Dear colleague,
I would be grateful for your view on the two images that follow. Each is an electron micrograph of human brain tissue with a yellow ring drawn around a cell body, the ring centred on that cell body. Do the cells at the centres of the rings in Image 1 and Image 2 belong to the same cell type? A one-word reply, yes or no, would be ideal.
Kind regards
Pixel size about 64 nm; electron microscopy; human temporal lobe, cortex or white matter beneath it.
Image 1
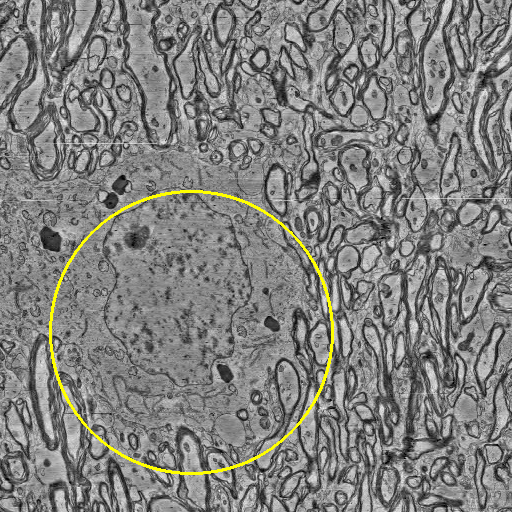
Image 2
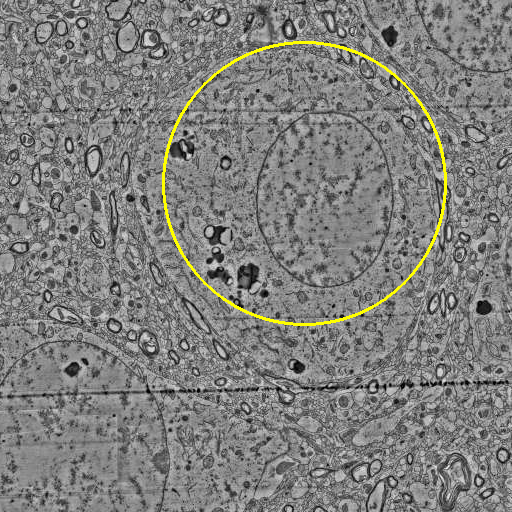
yes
